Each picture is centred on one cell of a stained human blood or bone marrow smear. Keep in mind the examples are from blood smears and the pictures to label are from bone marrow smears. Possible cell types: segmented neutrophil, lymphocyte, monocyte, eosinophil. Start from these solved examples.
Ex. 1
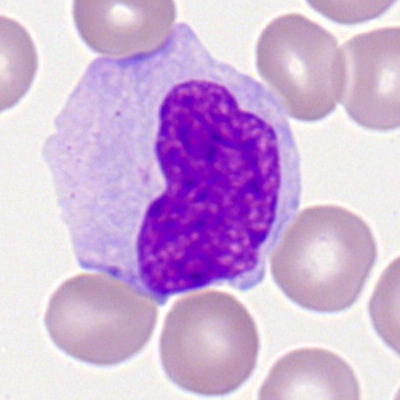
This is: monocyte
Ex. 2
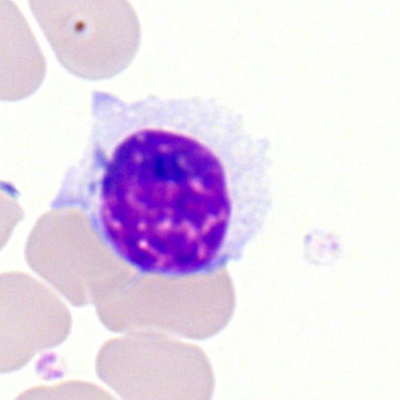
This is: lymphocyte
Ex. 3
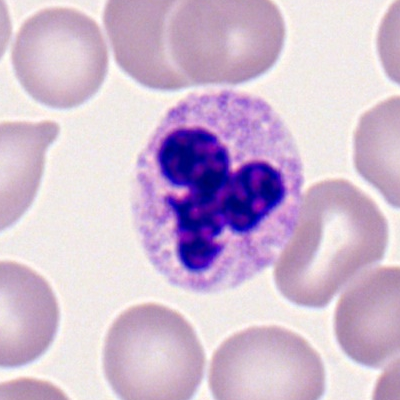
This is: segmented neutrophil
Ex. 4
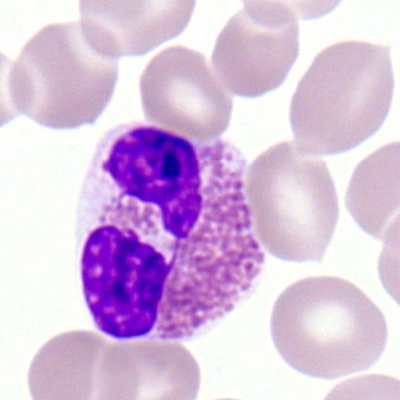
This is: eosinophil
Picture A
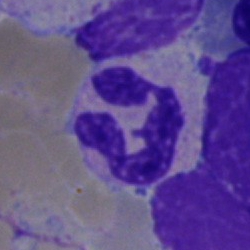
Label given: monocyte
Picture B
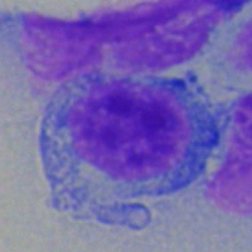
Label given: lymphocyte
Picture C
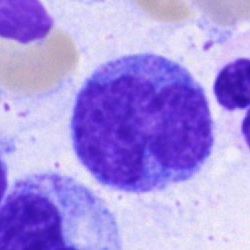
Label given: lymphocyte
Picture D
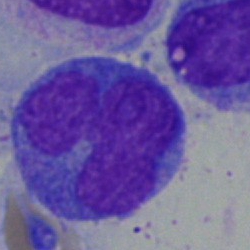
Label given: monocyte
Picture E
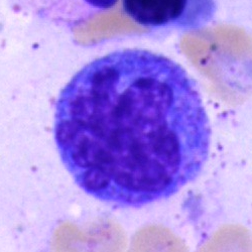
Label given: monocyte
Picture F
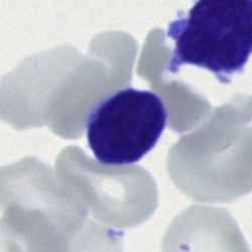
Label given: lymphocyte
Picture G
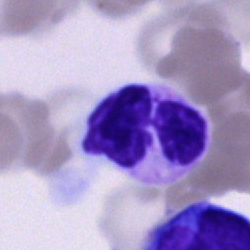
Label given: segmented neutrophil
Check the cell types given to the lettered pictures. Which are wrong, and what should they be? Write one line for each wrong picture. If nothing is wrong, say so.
A: segmented neutrophil, not monocyte
C: monocyte, not lymphocyte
